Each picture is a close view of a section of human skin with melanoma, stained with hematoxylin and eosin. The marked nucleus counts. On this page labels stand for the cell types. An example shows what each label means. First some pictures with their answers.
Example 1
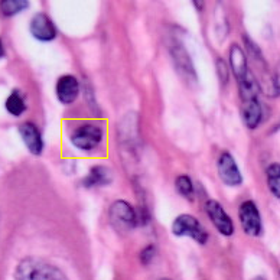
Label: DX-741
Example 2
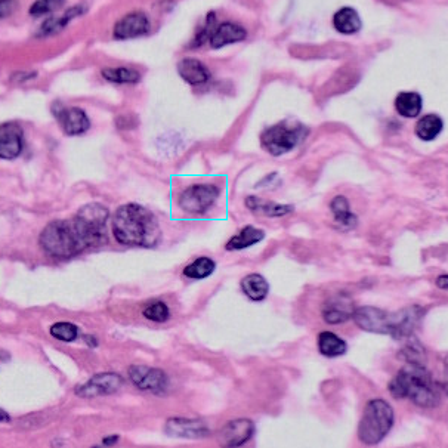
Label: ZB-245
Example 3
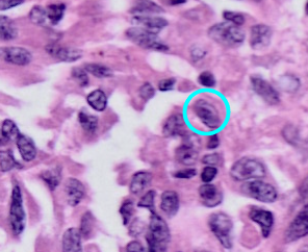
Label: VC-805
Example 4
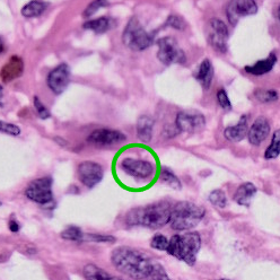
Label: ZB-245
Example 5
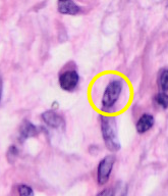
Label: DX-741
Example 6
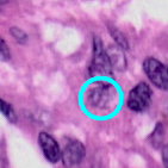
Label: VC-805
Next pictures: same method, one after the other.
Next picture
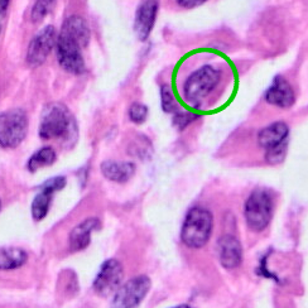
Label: VC-805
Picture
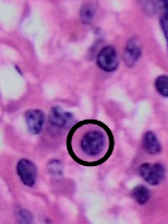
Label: DX-741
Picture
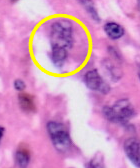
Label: VC-805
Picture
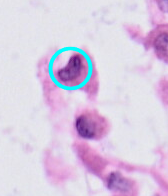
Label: ZB-245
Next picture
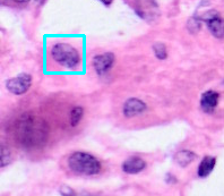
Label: ZB-245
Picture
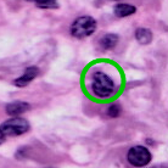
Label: DX-741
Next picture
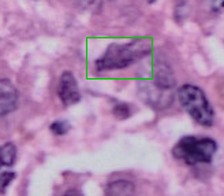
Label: VC-805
